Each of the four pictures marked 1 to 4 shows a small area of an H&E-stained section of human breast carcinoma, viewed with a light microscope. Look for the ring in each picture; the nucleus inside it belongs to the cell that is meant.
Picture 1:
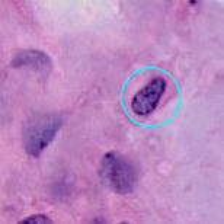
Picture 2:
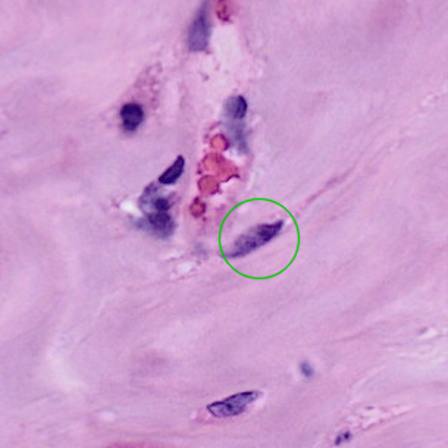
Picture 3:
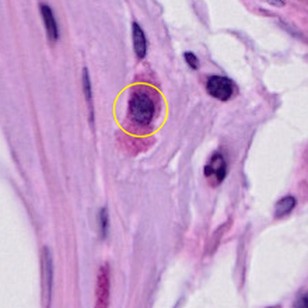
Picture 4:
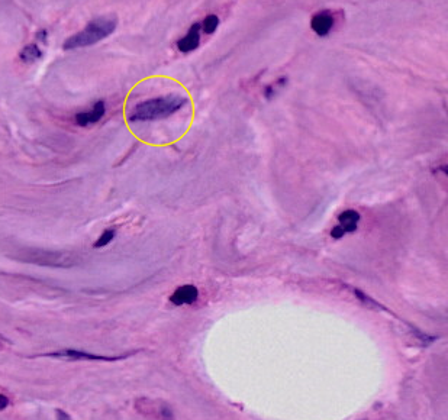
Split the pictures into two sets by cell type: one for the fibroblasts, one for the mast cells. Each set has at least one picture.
1: mast cell
2: fibroblast
3: mast cell
4: fibroblast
